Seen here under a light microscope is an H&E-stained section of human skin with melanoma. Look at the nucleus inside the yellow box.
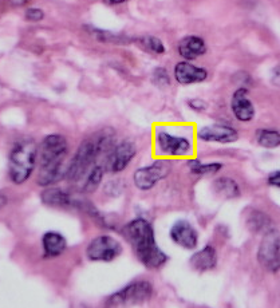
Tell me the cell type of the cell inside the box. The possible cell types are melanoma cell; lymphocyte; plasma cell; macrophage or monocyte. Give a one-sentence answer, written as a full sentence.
As to its cell type, the cell inside the box is a lymphocyte.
